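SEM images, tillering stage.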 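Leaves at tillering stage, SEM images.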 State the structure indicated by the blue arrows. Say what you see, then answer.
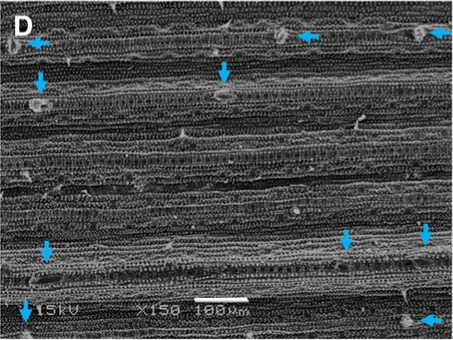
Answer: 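Macrohairs. The arrows point to scattered raised outgrowths from the leaf surface. The outgrowths sit in longitudinal rows of epidermal cells. Each outgrowth is larger than the small bead-like knobs that cover the surface.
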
